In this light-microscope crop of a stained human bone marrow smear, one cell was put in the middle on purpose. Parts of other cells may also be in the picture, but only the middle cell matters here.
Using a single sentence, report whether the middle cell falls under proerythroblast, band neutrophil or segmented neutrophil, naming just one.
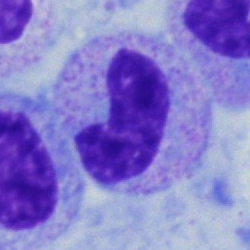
The cell centered in this field of view is a band neutrophil.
